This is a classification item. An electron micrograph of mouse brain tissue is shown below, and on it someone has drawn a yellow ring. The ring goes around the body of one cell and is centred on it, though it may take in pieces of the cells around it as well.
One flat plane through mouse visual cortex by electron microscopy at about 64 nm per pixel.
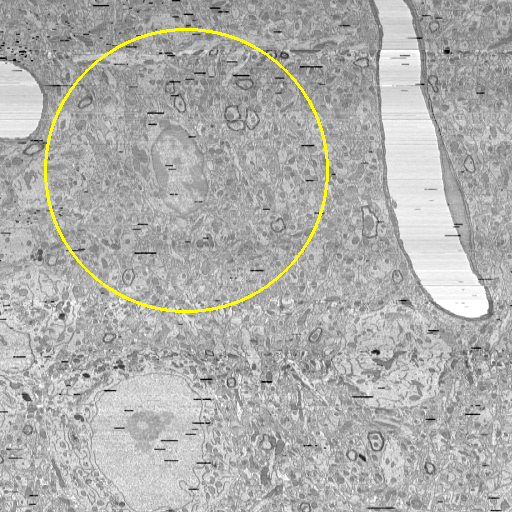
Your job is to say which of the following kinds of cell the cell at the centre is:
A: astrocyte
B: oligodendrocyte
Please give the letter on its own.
B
